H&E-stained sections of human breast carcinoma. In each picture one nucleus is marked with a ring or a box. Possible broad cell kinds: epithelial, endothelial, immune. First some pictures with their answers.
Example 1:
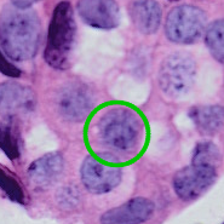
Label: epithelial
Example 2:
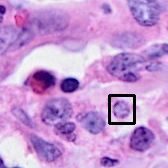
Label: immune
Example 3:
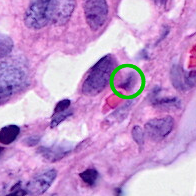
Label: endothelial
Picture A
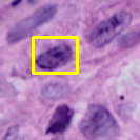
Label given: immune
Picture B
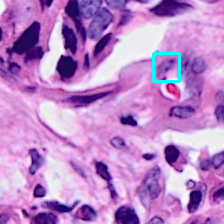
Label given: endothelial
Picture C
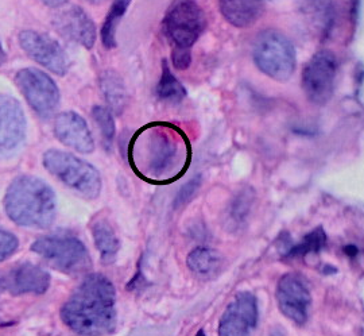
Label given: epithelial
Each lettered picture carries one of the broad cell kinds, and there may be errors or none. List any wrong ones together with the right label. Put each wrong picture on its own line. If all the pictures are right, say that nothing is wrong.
Wrong: C (epithelial); correct: endothelial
